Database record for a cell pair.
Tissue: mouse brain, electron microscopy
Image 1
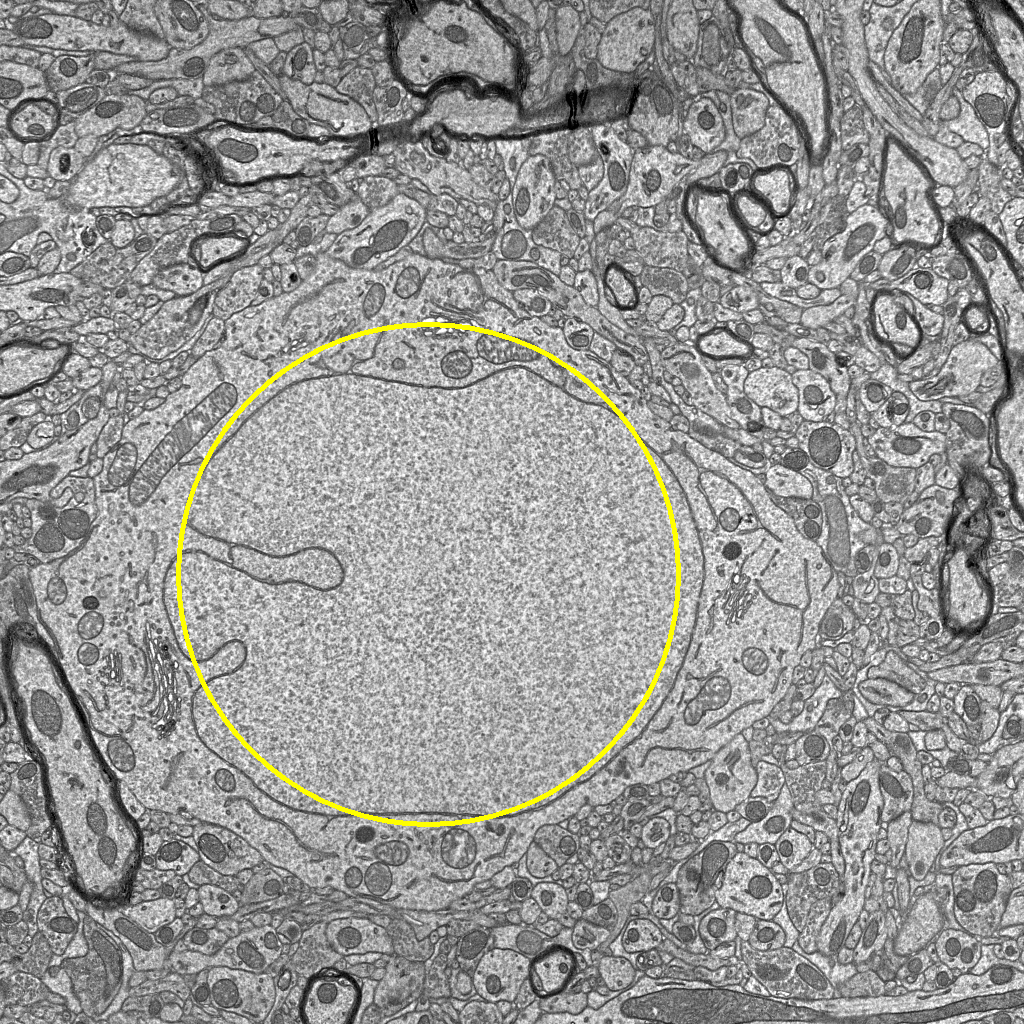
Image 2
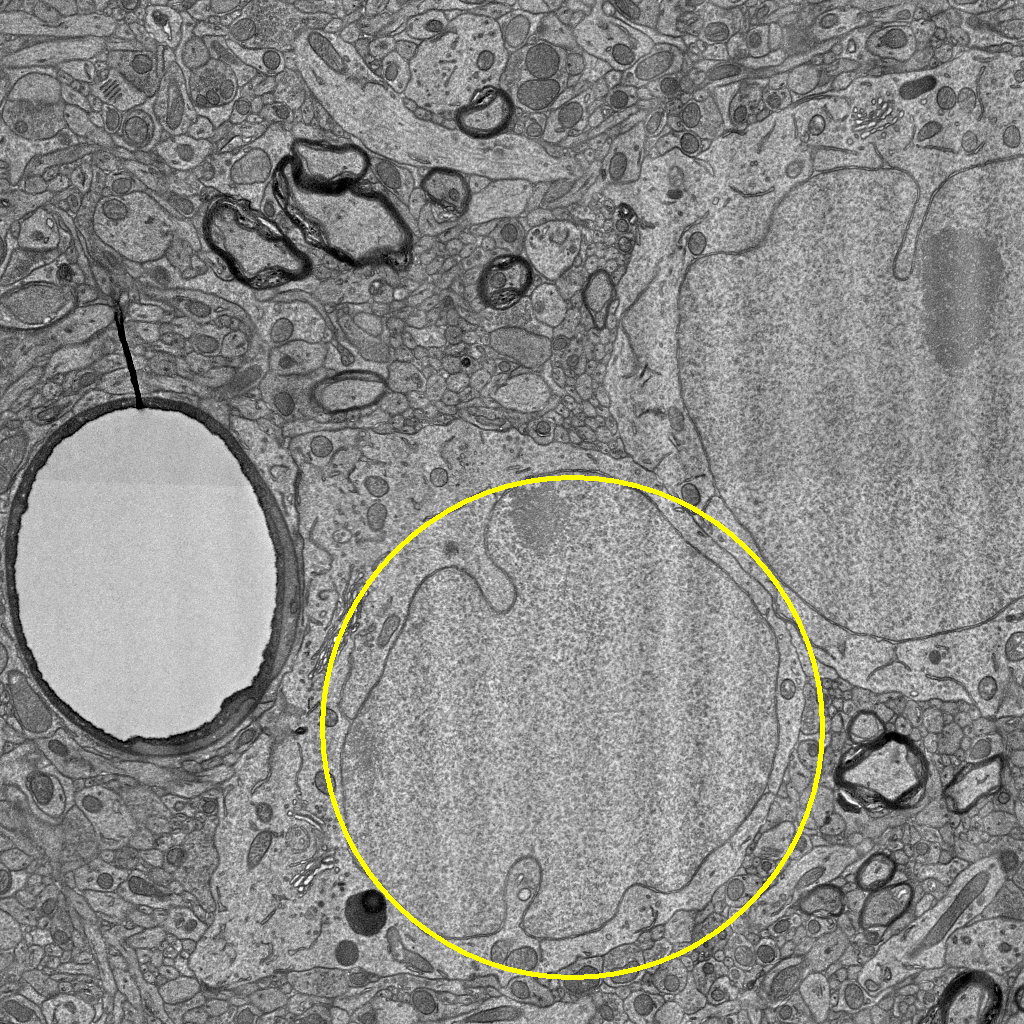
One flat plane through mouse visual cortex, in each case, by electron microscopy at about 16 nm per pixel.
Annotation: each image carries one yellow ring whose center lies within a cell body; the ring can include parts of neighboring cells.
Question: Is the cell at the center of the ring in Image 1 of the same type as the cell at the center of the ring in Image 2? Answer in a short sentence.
Yes, the cells are of the same type.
